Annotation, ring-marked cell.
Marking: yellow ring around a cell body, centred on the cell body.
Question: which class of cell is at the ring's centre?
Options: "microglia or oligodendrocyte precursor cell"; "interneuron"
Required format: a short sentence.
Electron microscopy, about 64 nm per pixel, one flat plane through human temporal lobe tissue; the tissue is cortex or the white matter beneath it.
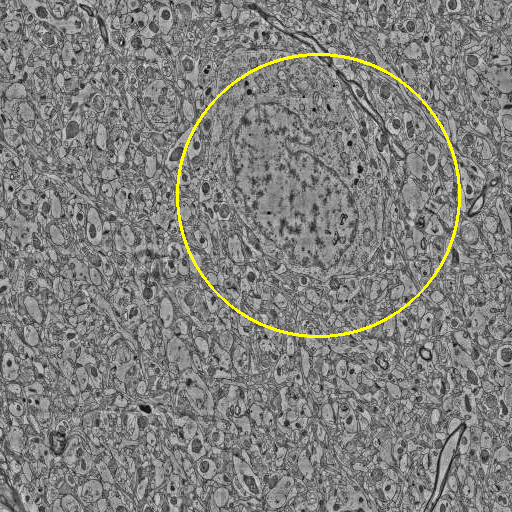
At the ring's centre is an interneuron.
